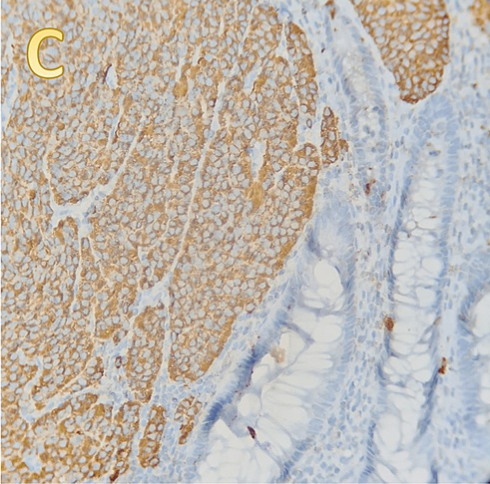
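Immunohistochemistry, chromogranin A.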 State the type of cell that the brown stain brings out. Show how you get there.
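Brown cytoplasmic staining fills large nests of closely packed cells. Adjacent glandular crypts with goblet cells stay unstained blue. The answer: tumor cells.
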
